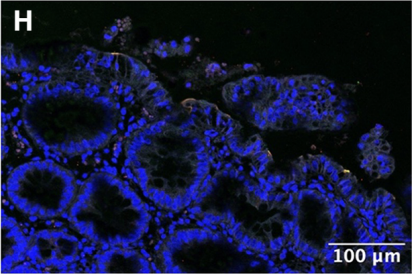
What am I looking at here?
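Intestinal mucosa cut across glands, showing rounded crypts each lined by a ring of columnar epithelial cells with blue nuclei arranged around a central lumen. Between the crypts lie scattered nuclei of the stroma. The epithelial cytoplasm is faintly coloured, and a bright yellow border along the lumen is almost absent, seen only in short patches near the upper surface. Loose clusters of rounded cells and debris lie above the mucosal surface at the upper right.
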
